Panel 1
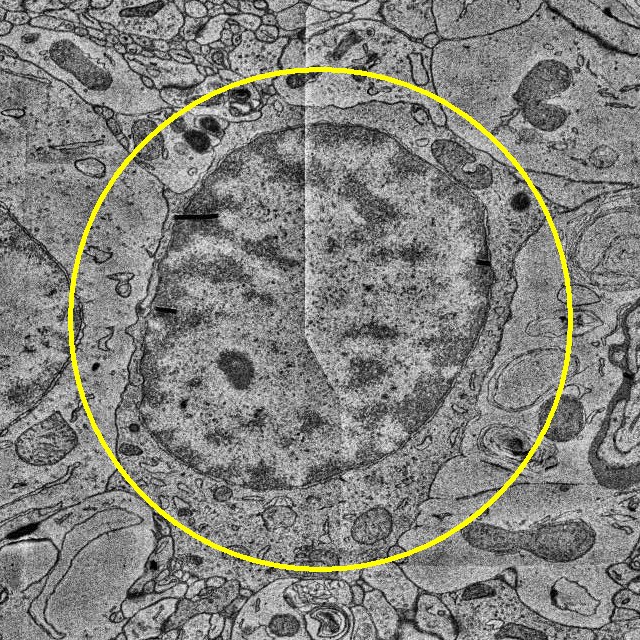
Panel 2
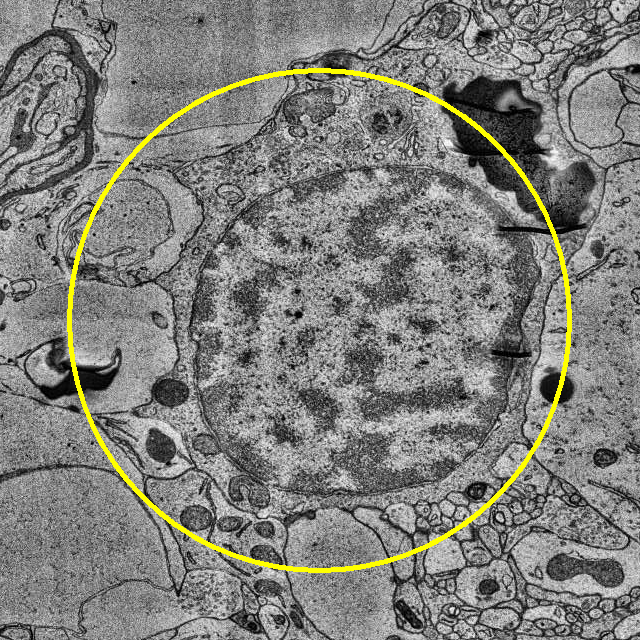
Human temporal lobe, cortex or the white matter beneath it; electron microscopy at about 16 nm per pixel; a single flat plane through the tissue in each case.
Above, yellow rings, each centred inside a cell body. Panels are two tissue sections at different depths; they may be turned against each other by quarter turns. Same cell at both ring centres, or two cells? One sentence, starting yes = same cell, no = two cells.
Yes, a single cell is marked twice, once by each yellow ring.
